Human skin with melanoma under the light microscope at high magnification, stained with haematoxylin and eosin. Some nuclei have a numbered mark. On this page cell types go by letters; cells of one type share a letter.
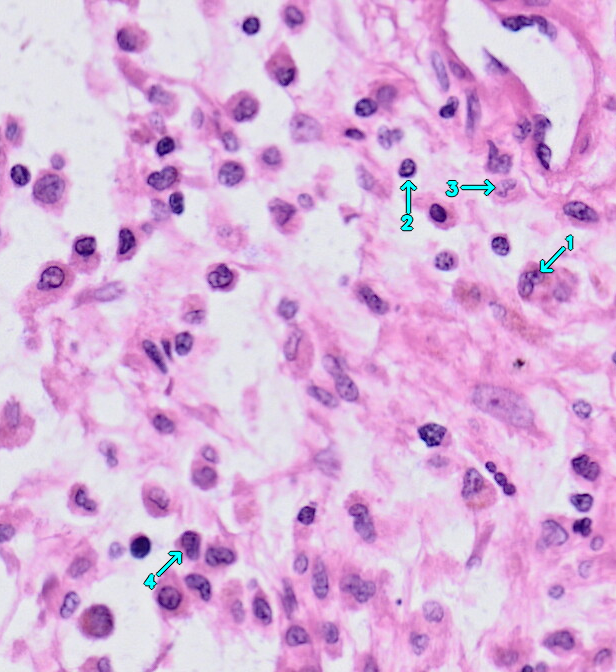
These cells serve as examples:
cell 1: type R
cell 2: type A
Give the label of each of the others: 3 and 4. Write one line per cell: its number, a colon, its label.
3: type R
4: type R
